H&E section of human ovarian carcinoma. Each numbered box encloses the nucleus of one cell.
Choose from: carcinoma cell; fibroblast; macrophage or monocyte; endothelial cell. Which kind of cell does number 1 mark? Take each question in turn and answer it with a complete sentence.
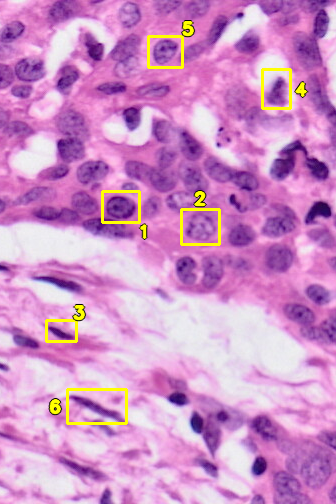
Recognised here as a carcinoma cell is the cell numbered 1.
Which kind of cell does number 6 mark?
The cell identified by the number 6 is a fibroblast.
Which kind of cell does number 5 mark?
Corresponding to a macrophage or monocyte is the cell labelled 5.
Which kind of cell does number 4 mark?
The cell pointed out by number 4 is a carcinoma cell.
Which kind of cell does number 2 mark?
Among the marked cells, number 2 is a carcinoma cell.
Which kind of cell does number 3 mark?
The cell assigned the number 3 is a fibroblast.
